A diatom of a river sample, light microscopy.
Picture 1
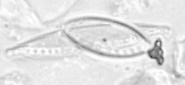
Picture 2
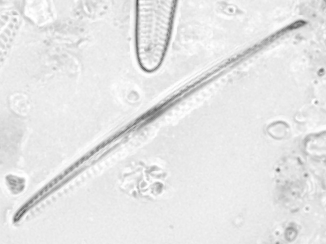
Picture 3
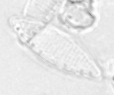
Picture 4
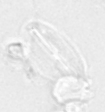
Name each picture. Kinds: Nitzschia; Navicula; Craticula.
1: Nitzschia
2: Navicula
3: Nitzschia
4: Craticula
